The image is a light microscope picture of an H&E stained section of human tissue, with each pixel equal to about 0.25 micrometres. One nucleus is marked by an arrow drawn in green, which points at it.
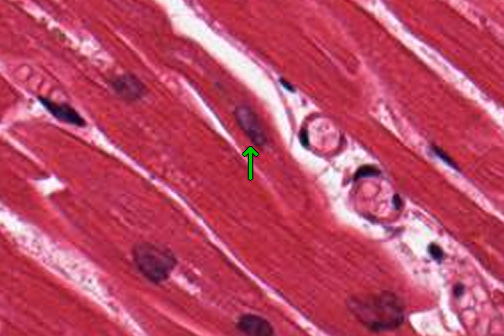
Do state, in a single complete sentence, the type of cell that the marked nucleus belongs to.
The marked nucleus forms part of a cardiomyocyte.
